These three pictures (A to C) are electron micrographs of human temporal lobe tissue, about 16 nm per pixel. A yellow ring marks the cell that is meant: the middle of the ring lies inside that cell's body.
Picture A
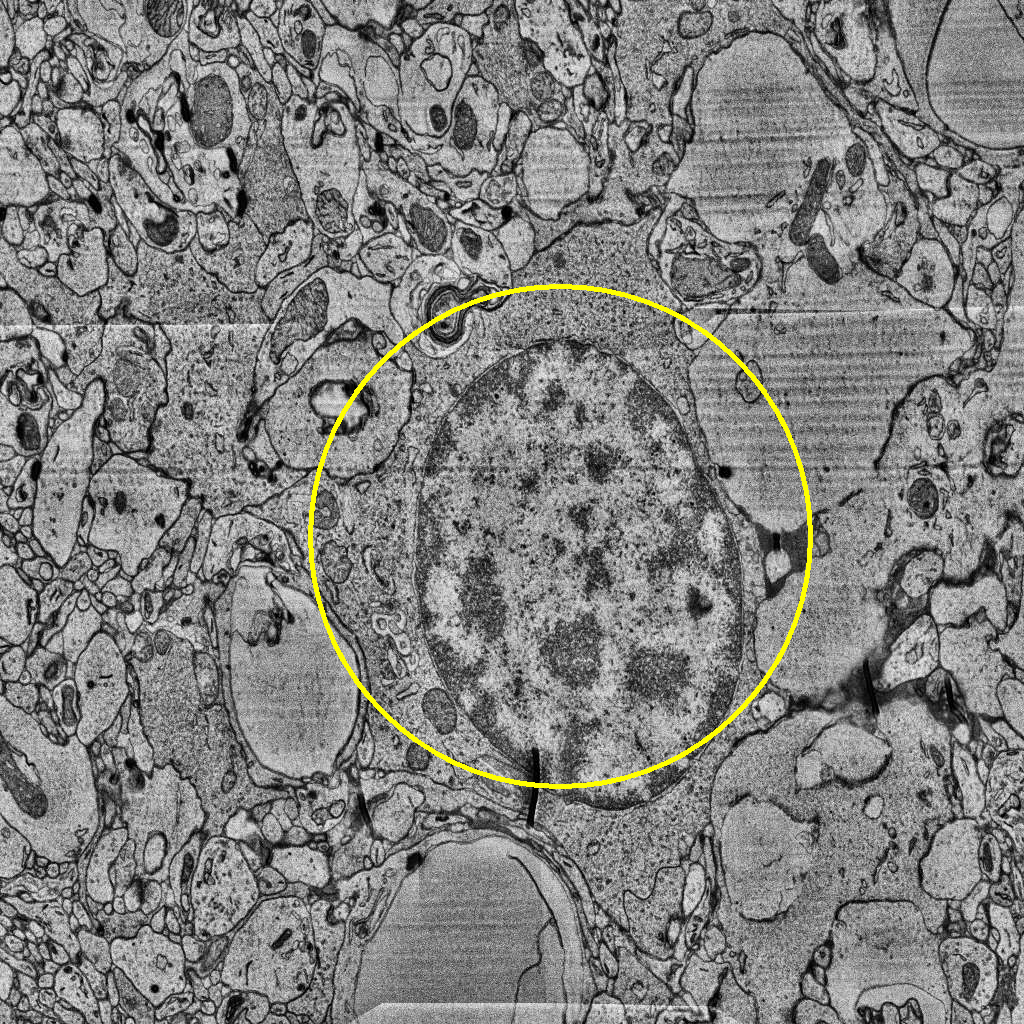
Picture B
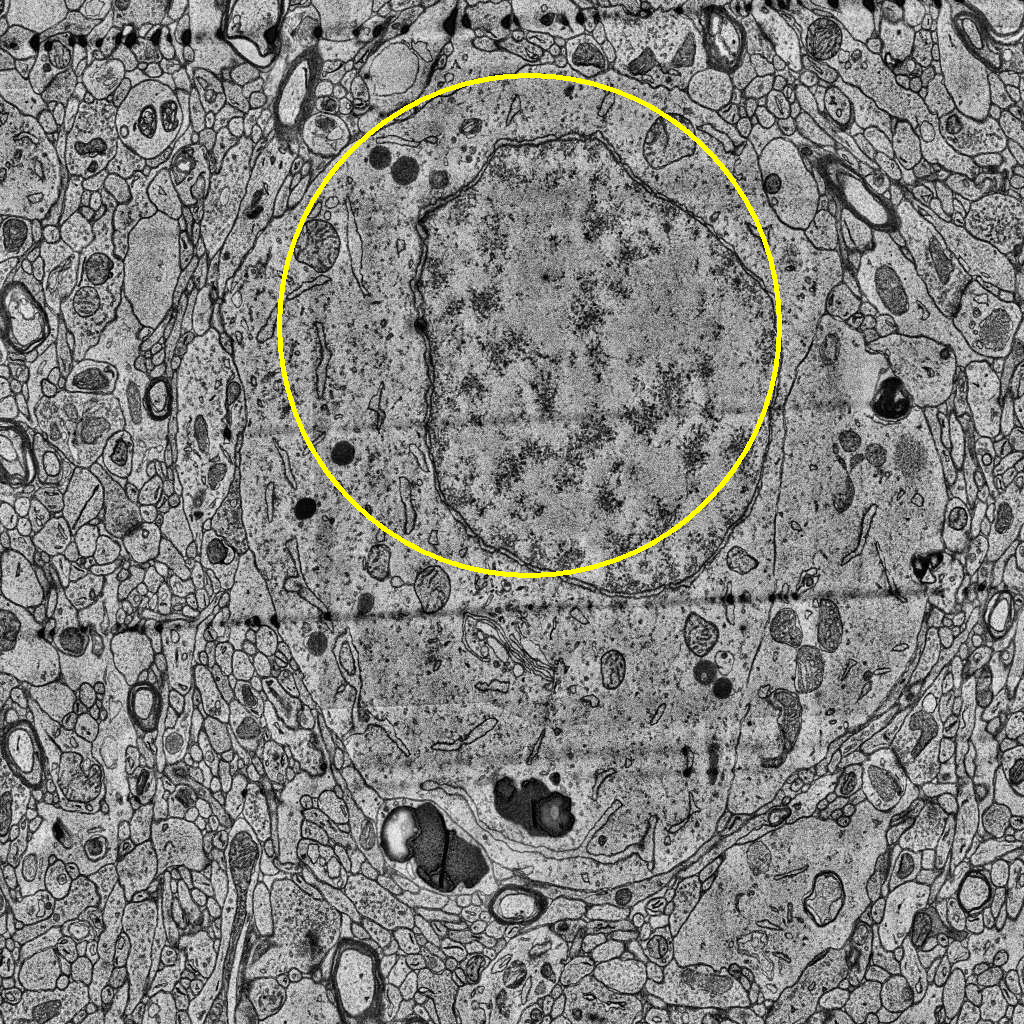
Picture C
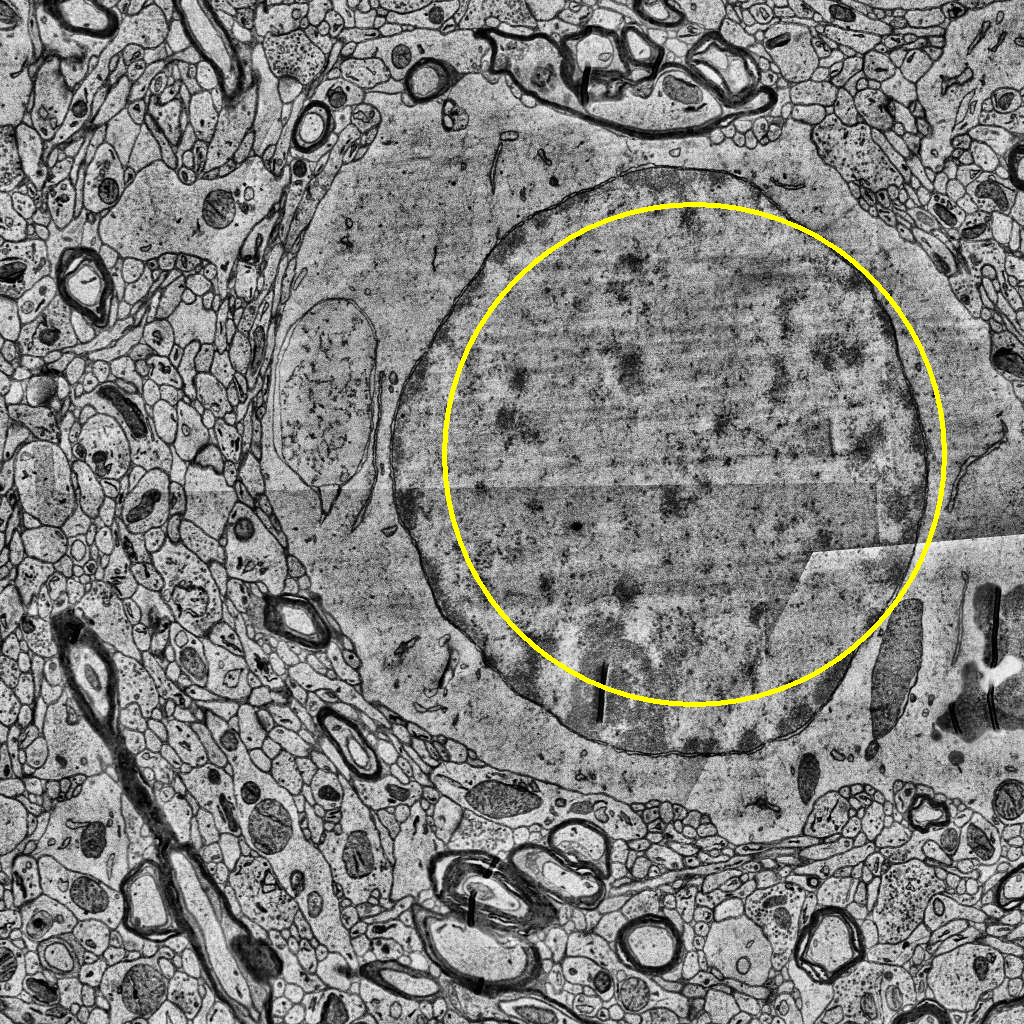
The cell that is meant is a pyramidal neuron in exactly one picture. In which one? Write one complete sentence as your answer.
It is picture B that shows the pyramidal neuron.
